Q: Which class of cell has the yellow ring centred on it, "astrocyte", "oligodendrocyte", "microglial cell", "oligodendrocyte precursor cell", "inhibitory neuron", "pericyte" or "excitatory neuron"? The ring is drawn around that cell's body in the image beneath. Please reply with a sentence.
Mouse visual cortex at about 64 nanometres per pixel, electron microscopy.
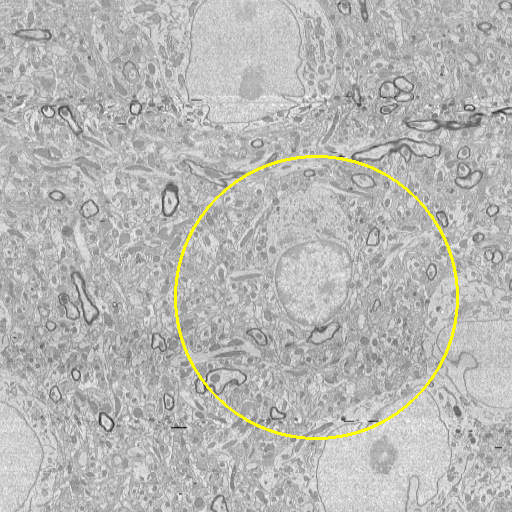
It is centred on an oligodendrocyte.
